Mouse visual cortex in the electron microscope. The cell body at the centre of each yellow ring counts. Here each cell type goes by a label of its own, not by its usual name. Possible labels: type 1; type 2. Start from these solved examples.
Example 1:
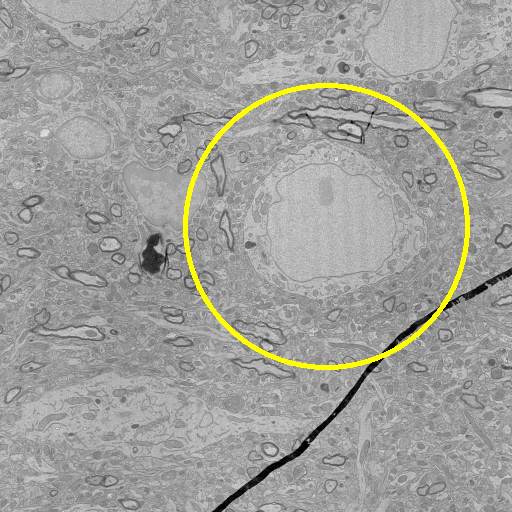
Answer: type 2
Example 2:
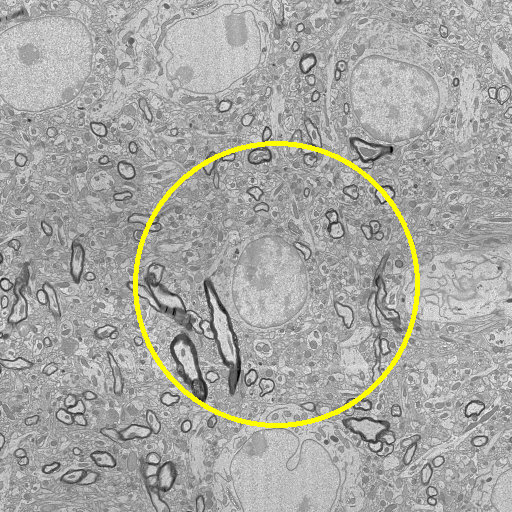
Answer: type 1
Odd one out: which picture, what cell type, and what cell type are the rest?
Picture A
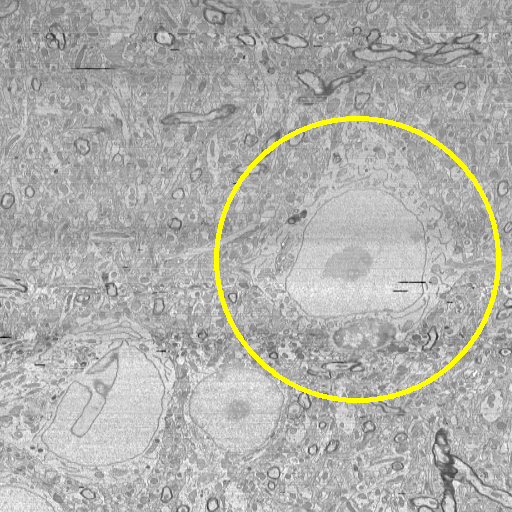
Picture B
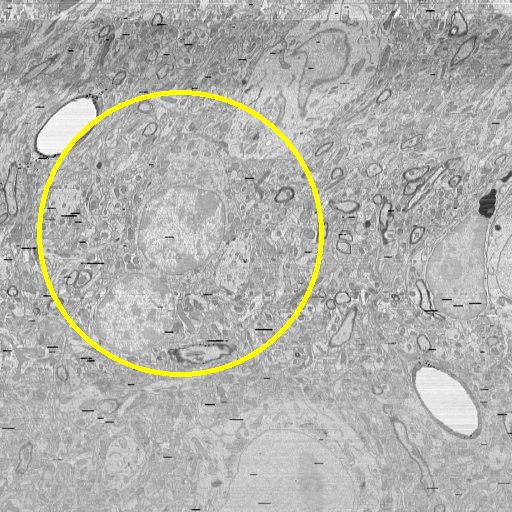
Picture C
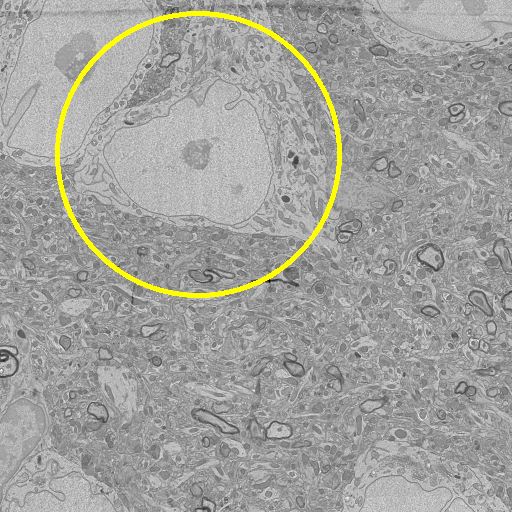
B: type 1; all the others: type 2.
